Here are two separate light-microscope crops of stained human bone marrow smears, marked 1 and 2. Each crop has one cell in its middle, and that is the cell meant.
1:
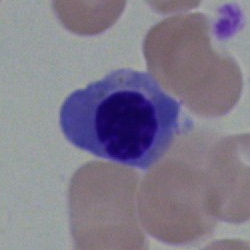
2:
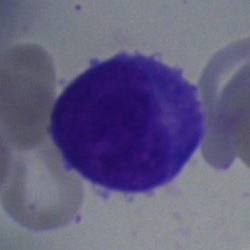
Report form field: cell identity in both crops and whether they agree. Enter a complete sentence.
No, an erythroblast is in crop 1, and a blast is in crop 2.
